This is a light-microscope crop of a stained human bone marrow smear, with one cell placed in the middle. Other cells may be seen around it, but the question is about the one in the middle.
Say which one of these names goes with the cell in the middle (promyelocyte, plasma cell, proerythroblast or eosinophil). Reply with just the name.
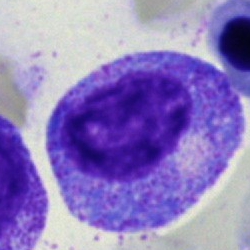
promyelocyte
